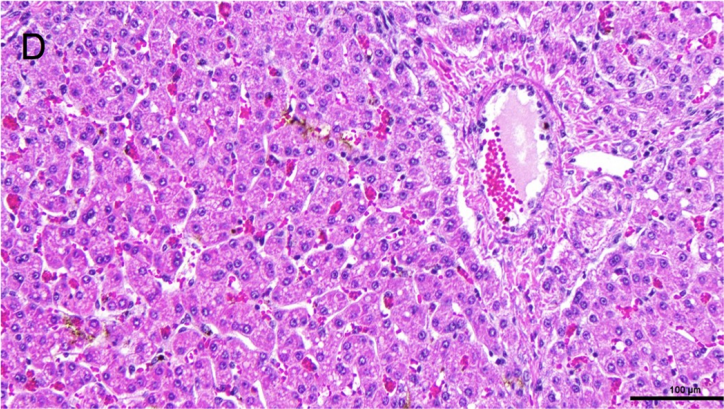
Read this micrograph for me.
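This is liver parenchyma made up of cords of large polygonal cells with pale pink to lilac cytoplasm and round purple nuclei, many with a visible nucleolus. On the right a large vessel with a thin rim of connective tissue holds pale pink fluid and a cluster of red blood cells. Between the cords run narrow clear channels, and small clumps of bright red blood cells are scattered through the tissue. Golden-brown granular pigment lies in a few places among the cords.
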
